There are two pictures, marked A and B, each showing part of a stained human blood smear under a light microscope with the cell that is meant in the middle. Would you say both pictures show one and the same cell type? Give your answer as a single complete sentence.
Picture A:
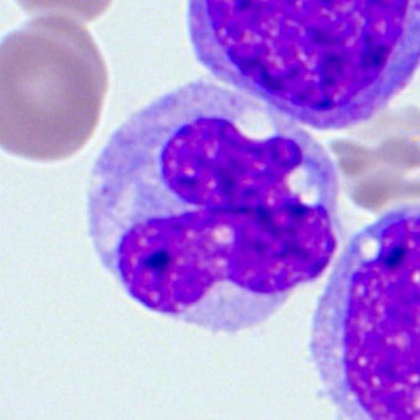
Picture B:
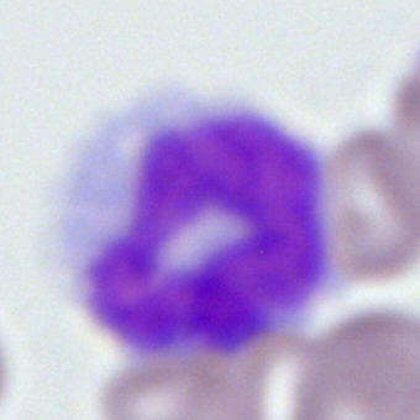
Yes, they are the same type: both are monocytes.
